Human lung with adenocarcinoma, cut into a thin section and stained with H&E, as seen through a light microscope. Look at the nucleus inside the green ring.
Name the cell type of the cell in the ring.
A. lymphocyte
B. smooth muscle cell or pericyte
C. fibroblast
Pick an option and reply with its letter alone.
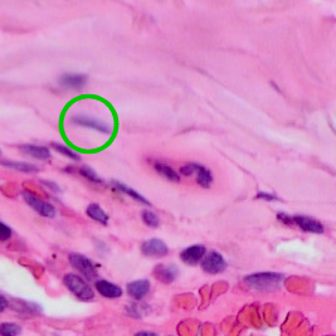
C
